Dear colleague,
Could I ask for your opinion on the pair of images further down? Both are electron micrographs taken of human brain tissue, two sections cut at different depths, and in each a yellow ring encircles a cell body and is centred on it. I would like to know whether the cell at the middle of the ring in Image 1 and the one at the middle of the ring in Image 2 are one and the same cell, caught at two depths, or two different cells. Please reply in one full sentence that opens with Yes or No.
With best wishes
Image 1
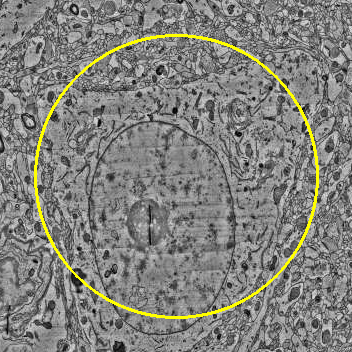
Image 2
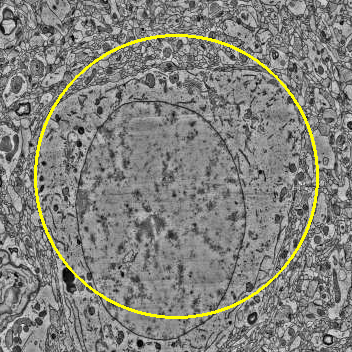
Yes, the same cell has been marked in both yellow rings.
